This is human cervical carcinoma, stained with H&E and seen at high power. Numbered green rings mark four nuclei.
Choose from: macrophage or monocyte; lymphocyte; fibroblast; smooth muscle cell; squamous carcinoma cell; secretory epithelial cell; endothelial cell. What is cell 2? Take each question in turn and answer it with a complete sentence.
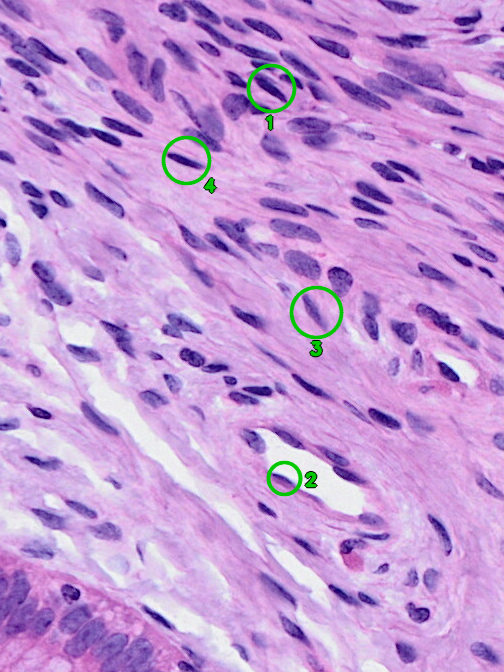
Number 2 among the marked cells is an endothelial cell.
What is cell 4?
Cell 4 in the field is a fibroblast.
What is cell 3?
As for number 3, that cell is a fibroblast.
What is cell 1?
The identity of cell 1 is that of a fibroblast.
